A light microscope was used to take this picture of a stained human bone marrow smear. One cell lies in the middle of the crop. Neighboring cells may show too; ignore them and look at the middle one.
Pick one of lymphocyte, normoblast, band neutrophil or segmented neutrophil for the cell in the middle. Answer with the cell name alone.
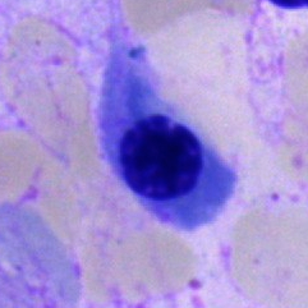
normoblast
